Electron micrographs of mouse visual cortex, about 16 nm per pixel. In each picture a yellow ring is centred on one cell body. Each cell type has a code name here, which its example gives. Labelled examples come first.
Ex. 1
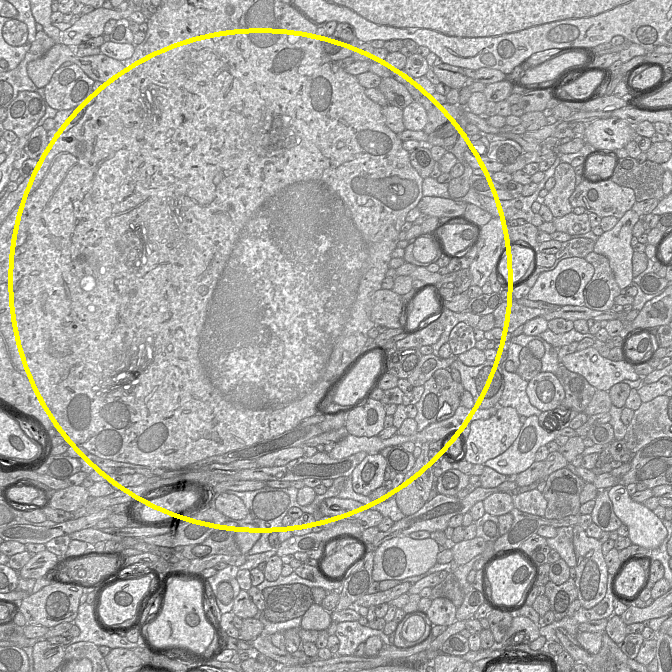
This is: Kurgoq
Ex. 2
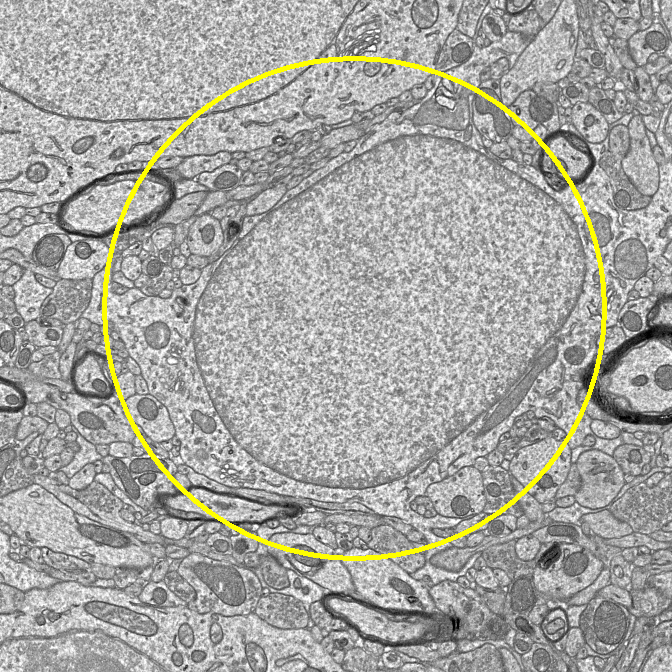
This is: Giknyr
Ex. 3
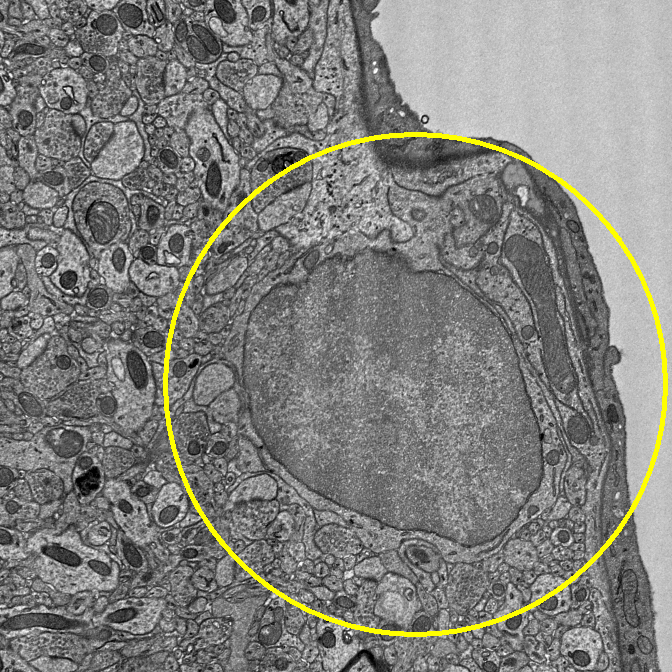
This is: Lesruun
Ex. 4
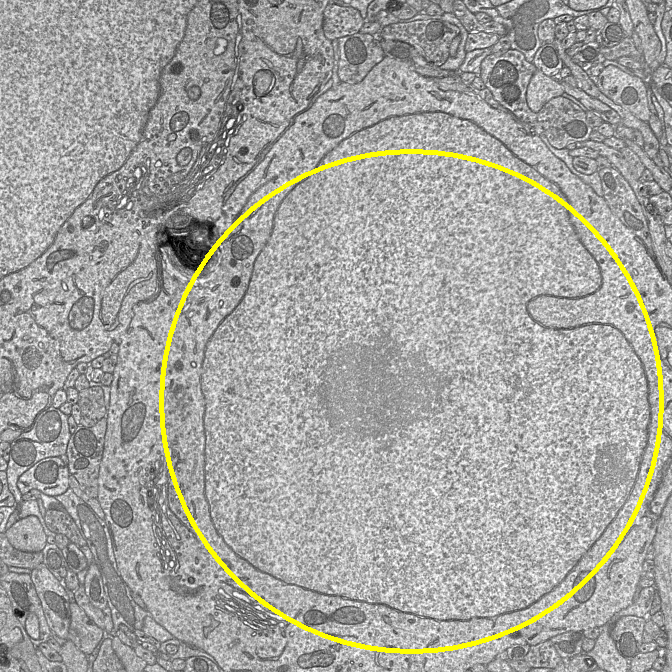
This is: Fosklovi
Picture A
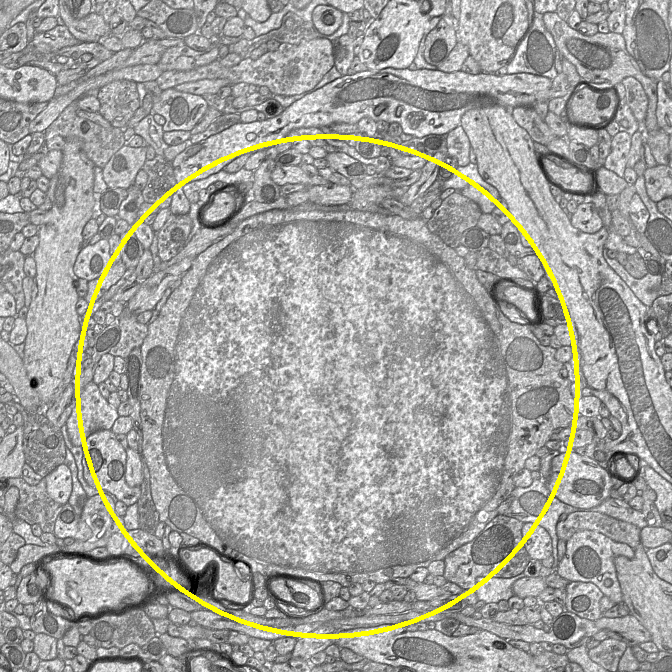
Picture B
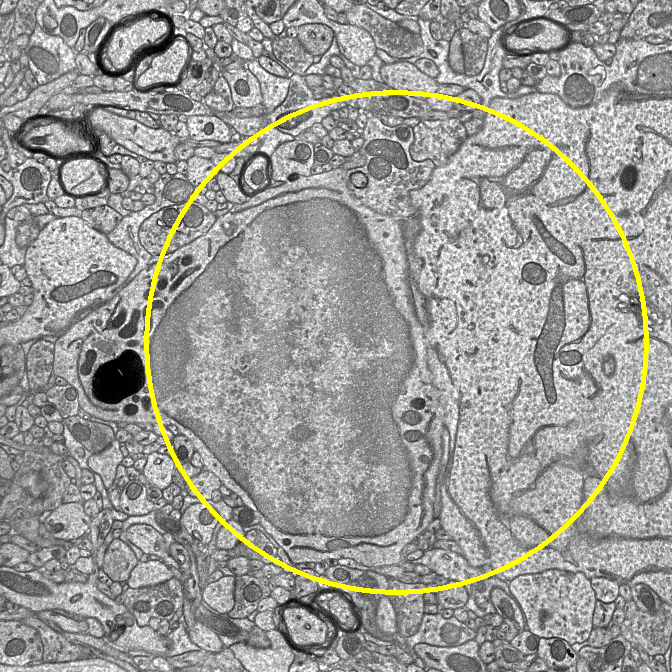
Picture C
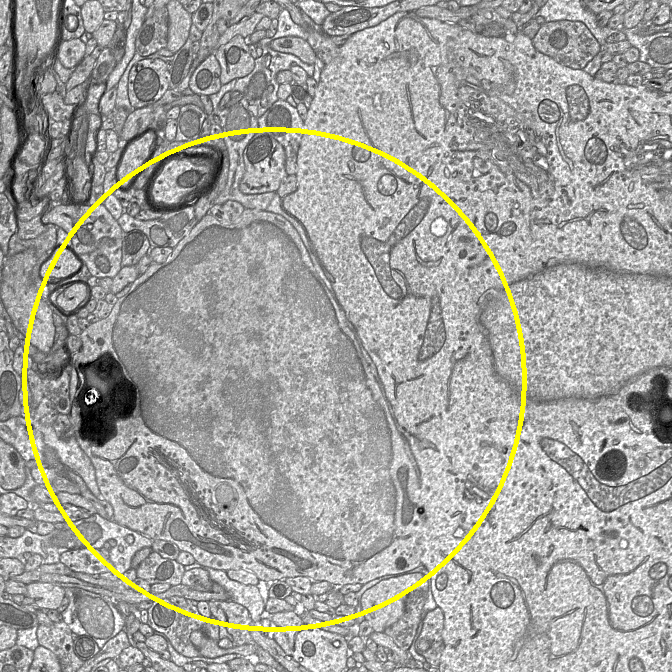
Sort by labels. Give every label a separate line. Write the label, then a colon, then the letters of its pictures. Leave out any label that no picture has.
Kurgoq: A
Lesruun: B, C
